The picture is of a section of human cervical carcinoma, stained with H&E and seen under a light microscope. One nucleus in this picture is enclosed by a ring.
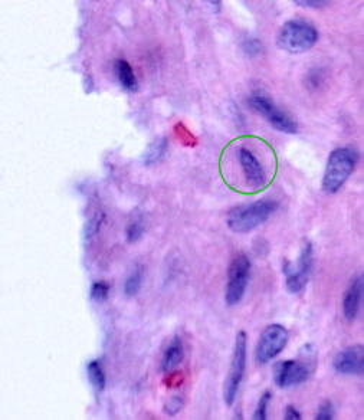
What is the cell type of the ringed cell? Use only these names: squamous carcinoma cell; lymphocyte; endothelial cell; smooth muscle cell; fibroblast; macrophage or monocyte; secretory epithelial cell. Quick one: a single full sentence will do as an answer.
In cellular terms, the ringed cell is a fibroblast.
